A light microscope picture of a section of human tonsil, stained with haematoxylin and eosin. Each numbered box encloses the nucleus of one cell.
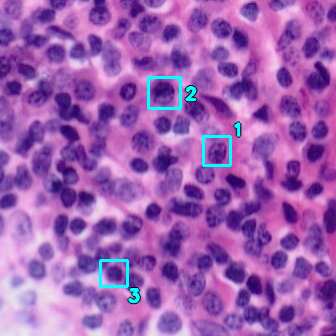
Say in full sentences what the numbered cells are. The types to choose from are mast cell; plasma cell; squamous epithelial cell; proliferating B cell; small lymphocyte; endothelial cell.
Cell 1 is a plasma cell, cell 2 is a plasma cell and cell 3 is a small lymphocyte.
